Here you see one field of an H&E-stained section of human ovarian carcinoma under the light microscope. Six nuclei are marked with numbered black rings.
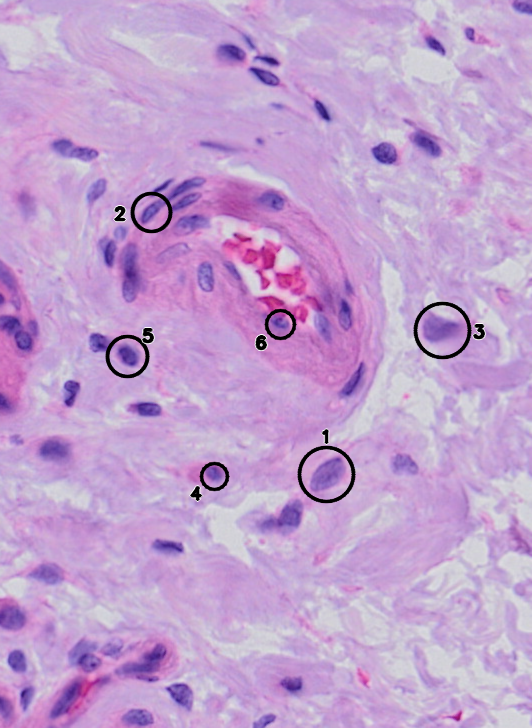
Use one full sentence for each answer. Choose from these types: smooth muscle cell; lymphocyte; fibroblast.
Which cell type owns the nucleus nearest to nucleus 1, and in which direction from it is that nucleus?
The nearest nucleus is that of a fibroblast and lies below and to the left of nucleus 1.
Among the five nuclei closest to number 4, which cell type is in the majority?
Most of the five nuclei nearest to number 4 are those of fibroblasts.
